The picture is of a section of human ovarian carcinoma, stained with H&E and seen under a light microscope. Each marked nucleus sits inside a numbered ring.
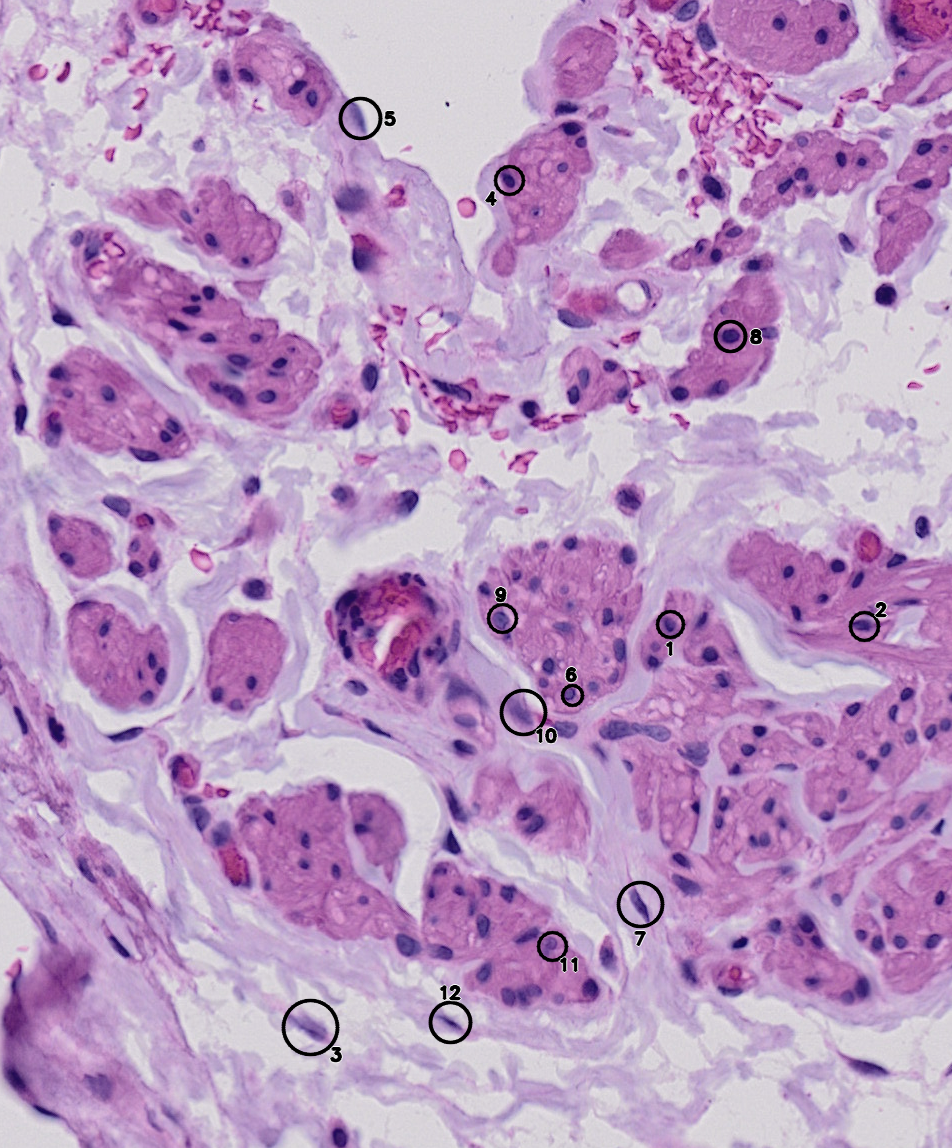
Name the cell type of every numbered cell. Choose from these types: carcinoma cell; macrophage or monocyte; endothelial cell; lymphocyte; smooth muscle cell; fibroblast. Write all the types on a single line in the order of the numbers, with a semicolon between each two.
smooth muscle cell; smooth muscle cell; fibroblast; smooth muscle cell; endothelial cell; smooth muscle cell; fibroblast; smooth muscle cell; smooth muscle cell; endothelial cell; smooth muscle cell; fibroblast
